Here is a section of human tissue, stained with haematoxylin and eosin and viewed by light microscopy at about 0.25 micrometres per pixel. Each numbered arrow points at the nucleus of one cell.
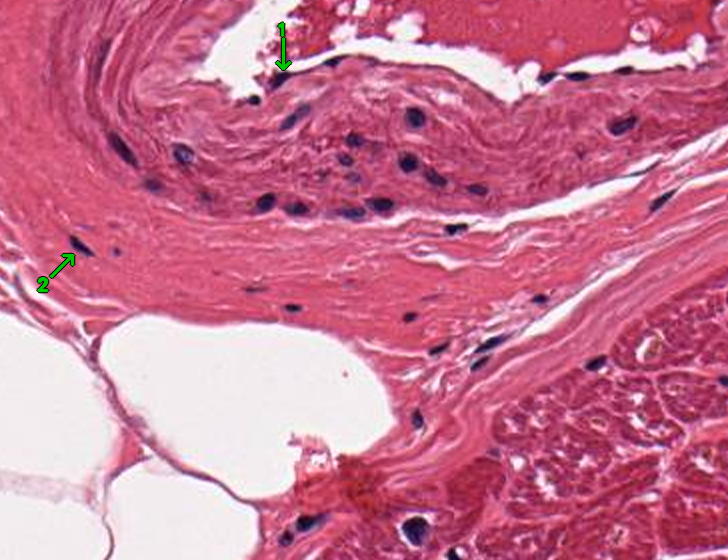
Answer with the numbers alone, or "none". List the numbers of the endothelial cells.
1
